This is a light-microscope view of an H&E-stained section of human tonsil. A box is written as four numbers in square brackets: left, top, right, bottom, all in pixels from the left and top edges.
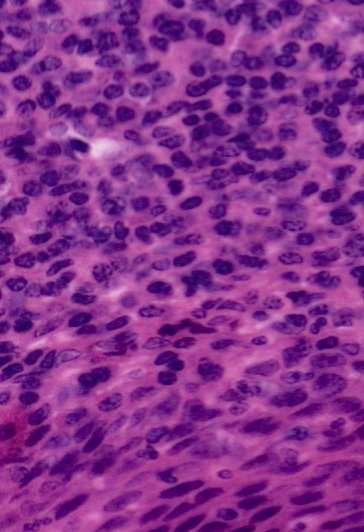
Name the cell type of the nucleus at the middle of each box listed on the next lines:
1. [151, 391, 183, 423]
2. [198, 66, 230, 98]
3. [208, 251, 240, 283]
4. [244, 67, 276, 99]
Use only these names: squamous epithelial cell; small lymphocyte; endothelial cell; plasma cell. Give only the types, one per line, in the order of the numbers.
squamous epithelial cell
small lymphocyte
plasma cell
small lymphocyte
